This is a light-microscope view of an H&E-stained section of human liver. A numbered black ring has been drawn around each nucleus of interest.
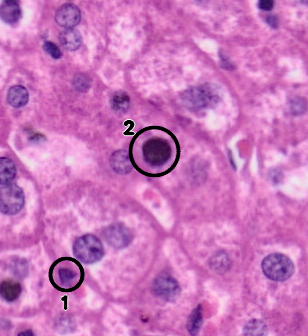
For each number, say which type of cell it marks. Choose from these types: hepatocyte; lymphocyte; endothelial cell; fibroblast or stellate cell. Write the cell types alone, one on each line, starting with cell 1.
fibroblast or stellate cell
hepatocyte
